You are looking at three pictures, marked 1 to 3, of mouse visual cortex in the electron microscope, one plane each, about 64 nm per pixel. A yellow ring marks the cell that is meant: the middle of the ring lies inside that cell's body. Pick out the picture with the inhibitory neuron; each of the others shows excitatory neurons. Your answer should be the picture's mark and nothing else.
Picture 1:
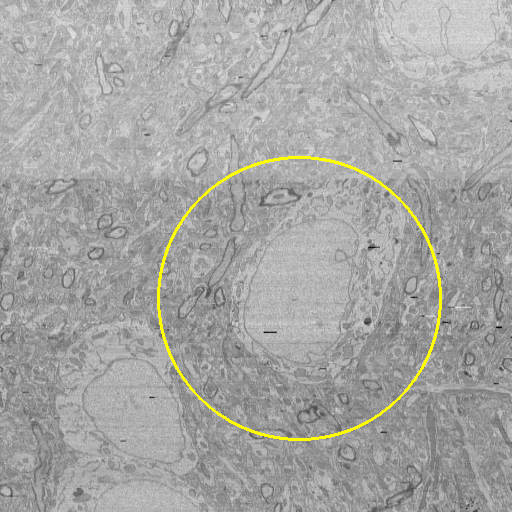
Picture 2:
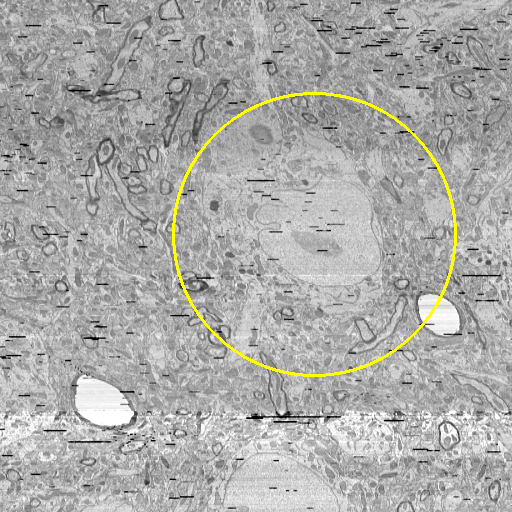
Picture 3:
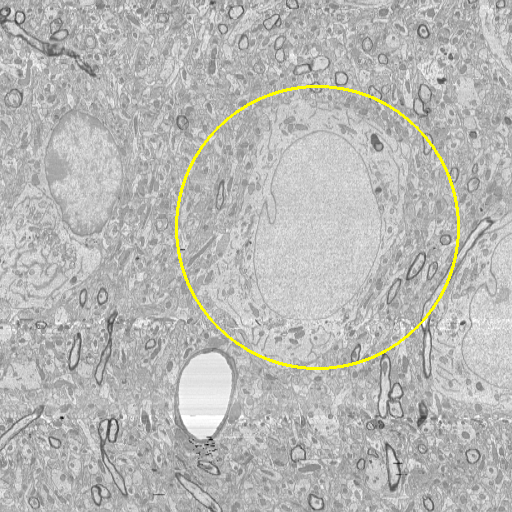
1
